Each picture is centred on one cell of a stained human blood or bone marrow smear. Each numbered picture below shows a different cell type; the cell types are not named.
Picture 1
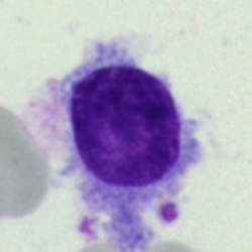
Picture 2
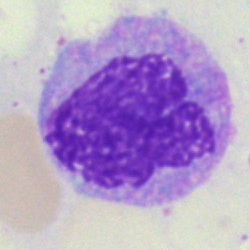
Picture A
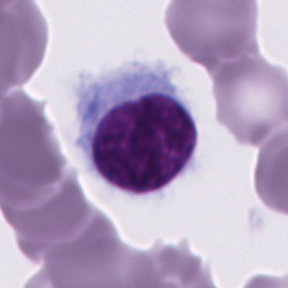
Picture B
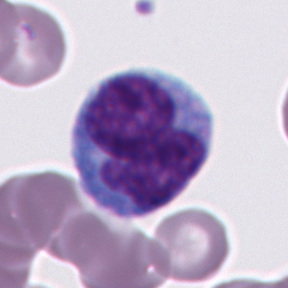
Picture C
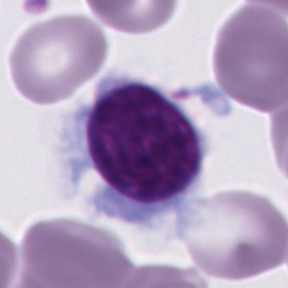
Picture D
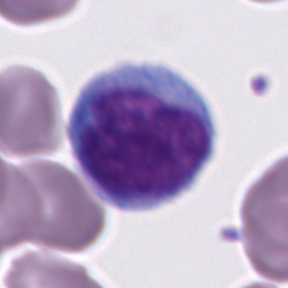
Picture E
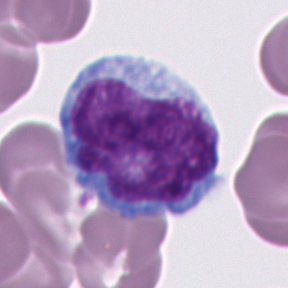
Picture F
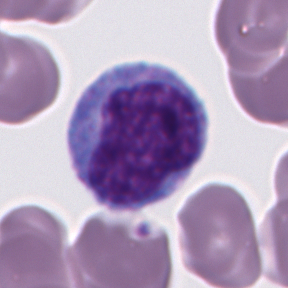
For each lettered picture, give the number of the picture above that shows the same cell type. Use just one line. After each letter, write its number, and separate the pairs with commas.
A 1, B 2, C 1, D 2, E 2, F 2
